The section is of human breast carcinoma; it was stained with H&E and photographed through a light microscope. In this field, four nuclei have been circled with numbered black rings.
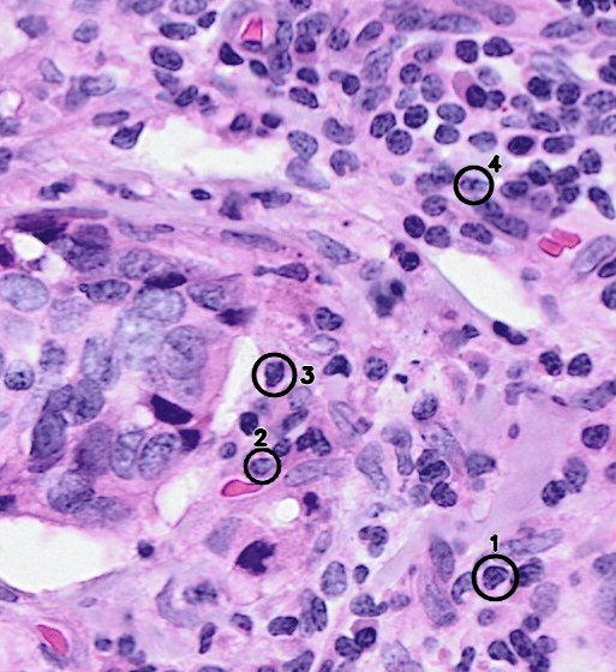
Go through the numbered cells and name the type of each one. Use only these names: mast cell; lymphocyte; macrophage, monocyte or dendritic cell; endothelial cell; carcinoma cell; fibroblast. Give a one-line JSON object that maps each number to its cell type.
{"1": "lymphocyte", "2": "endothelial cell", "3": "lymphocyte", "4": "lymphocyte"}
